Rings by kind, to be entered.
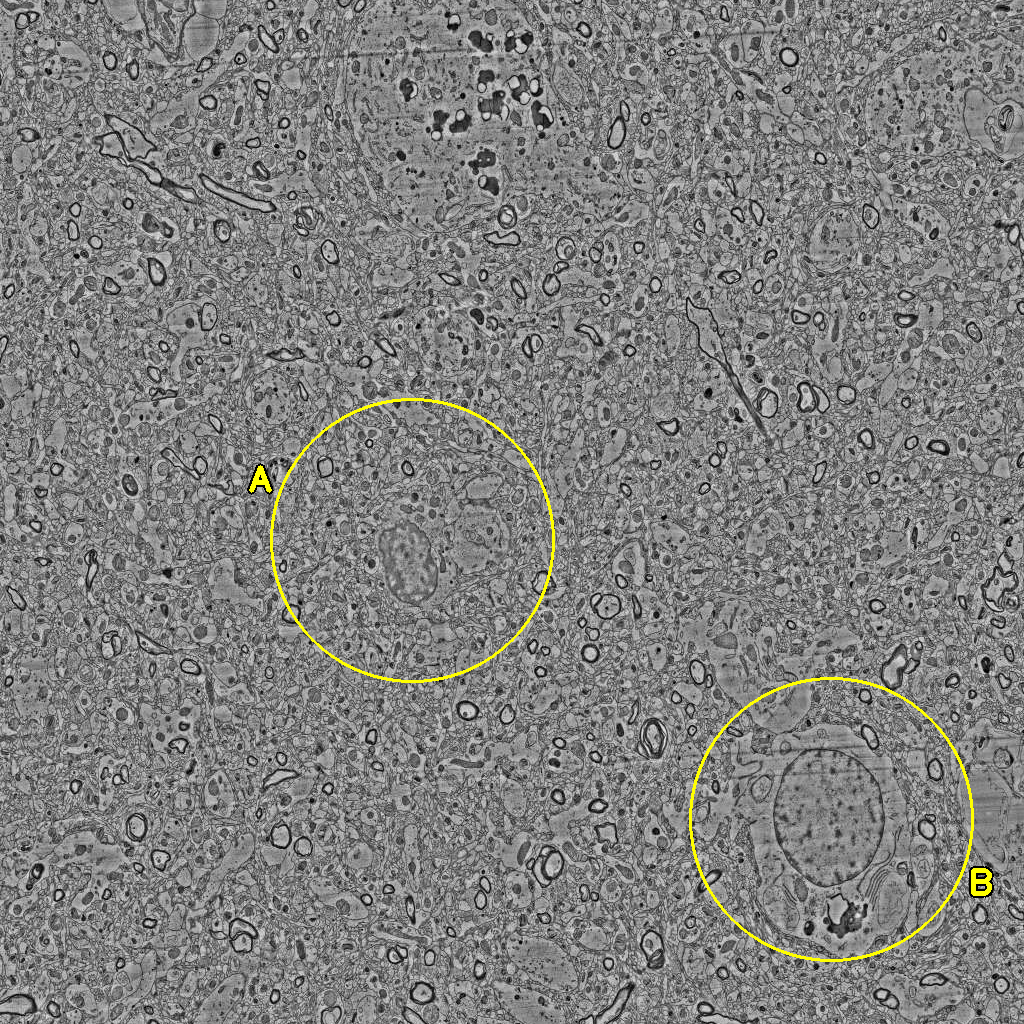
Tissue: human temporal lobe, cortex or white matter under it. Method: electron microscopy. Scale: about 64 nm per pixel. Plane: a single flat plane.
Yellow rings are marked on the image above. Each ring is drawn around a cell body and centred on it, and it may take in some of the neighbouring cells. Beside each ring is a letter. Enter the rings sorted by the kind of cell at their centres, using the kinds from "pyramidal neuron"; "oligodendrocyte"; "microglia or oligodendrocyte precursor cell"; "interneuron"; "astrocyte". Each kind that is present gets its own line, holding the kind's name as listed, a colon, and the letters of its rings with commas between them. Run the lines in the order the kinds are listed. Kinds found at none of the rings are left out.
oligodendrocyte: A
astrocyte: B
